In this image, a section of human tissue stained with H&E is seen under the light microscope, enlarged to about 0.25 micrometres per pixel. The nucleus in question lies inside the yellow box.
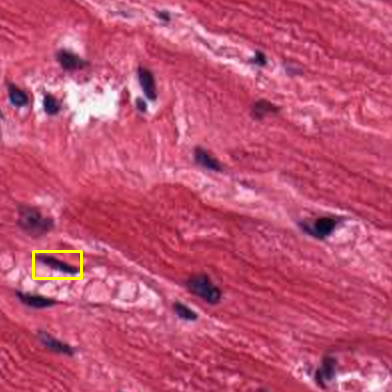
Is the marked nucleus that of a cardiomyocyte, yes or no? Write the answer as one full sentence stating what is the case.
No, it is not a cardiomyocyte that owns the marked nucleus but a supporting cell.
